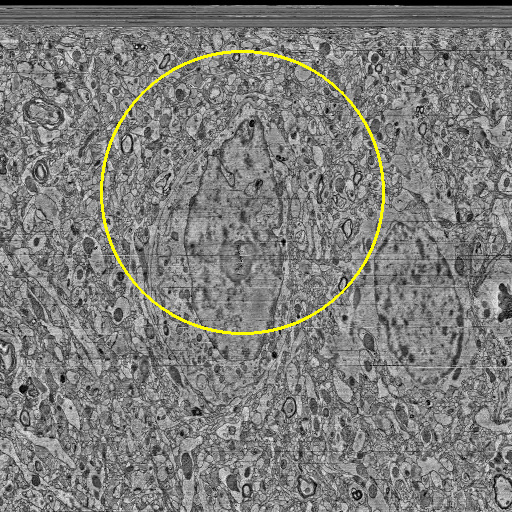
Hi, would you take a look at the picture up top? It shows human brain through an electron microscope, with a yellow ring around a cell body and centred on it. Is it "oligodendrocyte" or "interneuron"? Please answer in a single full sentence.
The best fit for the cell in the middle of the ring is an interneuron, I reckon.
